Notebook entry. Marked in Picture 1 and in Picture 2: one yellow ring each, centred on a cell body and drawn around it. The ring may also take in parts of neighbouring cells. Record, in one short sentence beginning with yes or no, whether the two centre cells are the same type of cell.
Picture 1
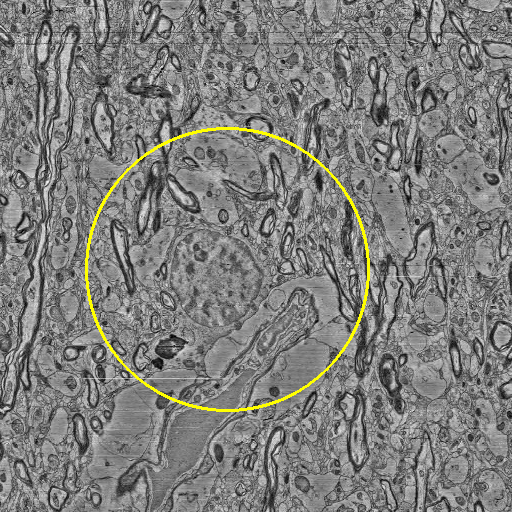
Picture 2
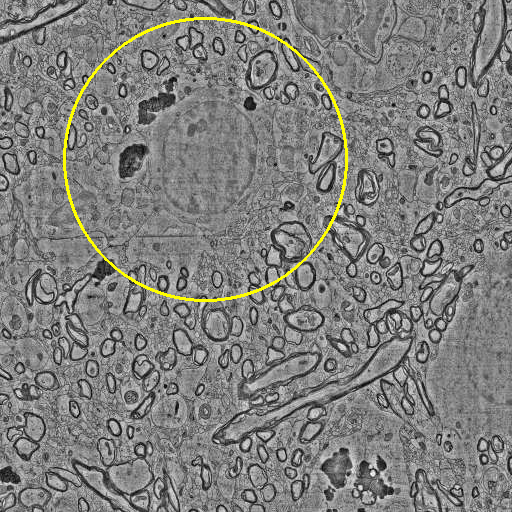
Yes, both are the same type of cell.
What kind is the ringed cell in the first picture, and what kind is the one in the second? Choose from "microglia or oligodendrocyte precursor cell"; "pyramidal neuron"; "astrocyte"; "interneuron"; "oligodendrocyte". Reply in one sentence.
Each cell, in the first picture and the second, is an oligodendrocyte.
